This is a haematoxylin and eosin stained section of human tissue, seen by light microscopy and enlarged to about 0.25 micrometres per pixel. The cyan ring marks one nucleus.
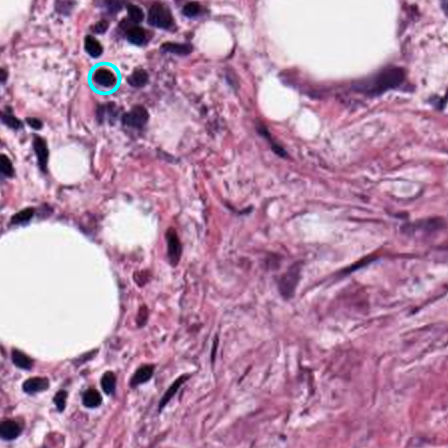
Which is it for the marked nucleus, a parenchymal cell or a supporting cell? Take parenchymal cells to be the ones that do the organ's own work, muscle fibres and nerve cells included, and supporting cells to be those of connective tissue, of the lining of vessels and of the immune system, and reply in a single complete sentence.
Within this section, the marked nucleus belongs to a supporting cell.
